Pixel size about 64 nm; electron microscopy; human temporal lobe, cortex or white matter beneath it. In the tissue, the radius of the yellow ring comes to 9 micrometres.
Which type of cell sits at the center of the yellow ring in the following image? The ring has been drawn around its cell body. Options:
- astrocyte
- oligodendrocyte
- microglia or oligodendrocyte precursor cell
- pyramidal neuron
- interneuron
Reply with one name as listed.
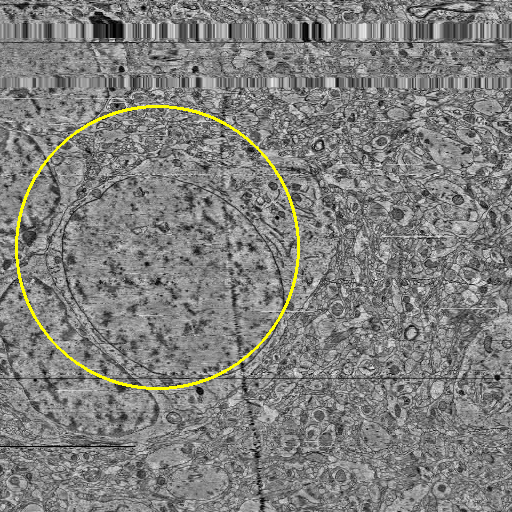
pyramidal neuron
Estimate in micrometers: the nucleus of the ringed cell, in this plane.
The nucleus of the ringed cell is approximately 15 by 12 micrometres in this plane.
